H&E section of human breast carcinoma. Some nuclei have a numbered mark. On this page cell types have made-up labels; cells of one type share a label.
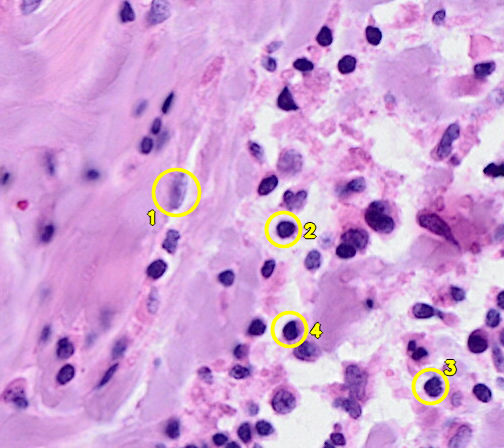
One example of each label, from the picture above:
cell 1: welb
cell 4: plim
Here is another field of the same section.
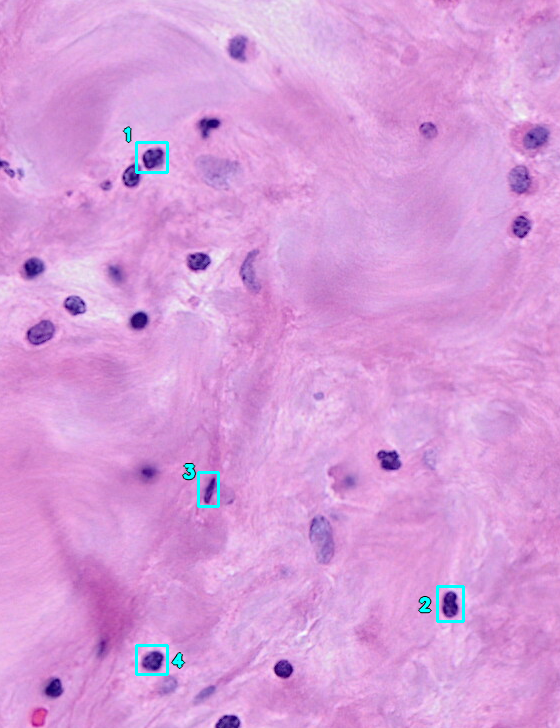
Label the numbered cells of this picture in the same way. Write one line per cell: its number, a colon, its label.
1: plim
2: plim
3: welb
4: plim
